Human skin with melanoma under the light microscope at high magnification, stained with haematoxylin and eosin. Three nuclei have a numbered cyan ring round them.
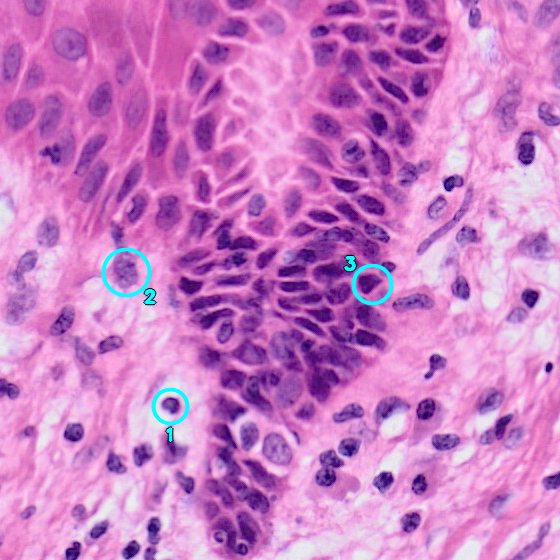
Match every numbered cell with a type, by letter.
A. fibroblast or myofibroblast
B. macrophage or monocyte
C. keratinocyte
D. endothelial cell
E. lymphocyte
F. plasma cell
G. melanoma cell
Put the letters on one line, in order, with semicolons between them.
E; A; C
